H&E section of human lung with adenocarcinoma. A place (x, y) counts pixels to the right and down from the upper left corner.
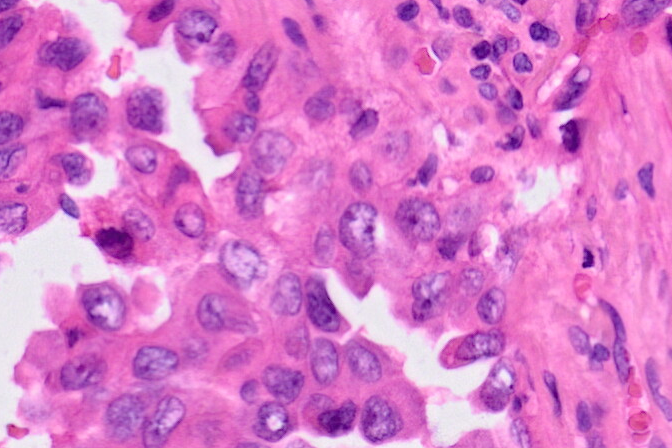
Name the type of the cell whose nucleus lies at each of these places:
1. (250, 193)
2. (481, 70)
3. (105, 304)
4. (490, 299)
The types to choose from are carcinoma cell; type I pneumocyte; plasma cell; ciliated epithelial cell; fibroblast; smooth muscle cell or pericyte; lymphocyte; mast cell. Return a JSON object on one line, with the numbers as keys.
{"1": "carcinoma cell", "2": "lymphocyte", "3": "carcinoma cell", "4": "carcinoma cell"}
